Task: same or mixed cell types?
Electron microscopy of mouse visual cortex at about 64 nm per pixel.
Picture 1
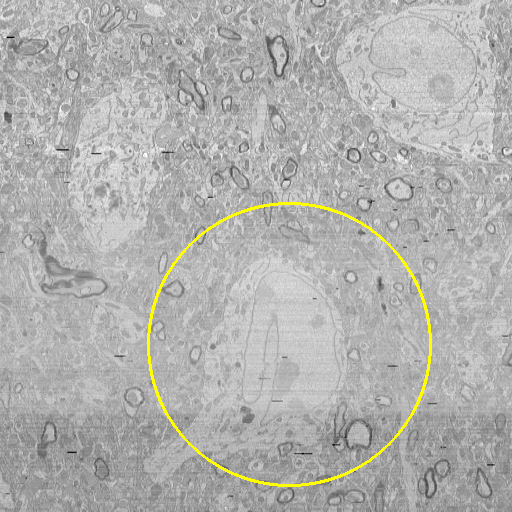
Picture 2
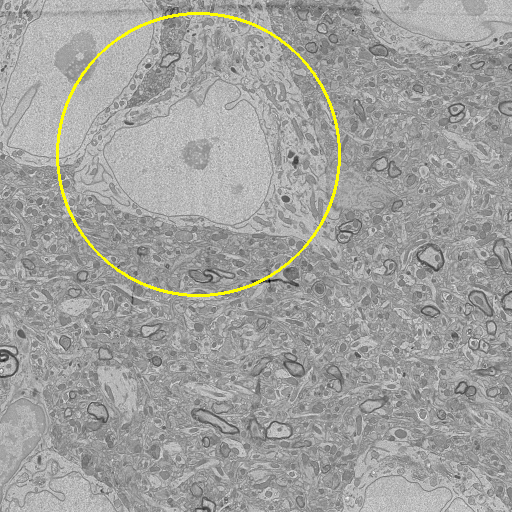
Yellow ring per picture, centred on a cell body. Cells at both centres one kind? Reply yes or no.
yes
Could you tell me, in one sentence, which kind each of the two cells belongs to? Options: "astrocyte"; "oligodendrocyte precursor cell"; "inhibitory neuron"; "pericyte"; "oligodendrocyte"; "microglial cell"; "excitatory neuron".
Each cell, in the first picture and the second, is an excitatory neuron.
